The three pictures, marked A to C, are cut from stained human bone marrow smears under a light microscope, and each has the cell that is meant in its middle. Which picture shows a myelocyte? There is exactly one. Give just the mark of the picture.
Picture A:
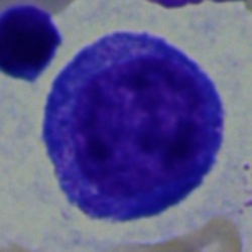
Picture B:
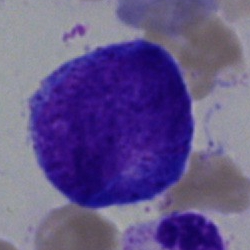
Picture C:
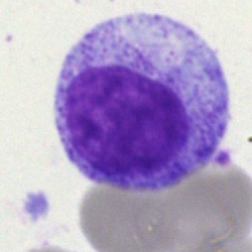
C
